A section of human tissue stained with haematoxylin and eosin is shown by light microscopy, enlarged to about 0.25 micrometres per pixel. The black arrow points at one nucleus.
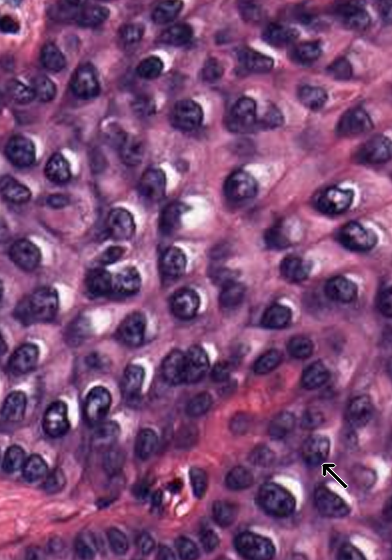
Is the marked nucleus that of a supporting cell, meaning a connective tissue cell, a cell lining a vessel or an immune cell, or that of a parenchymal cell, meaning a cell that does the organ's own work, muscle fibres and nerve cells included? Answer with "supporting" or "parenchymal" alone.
parenchymal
